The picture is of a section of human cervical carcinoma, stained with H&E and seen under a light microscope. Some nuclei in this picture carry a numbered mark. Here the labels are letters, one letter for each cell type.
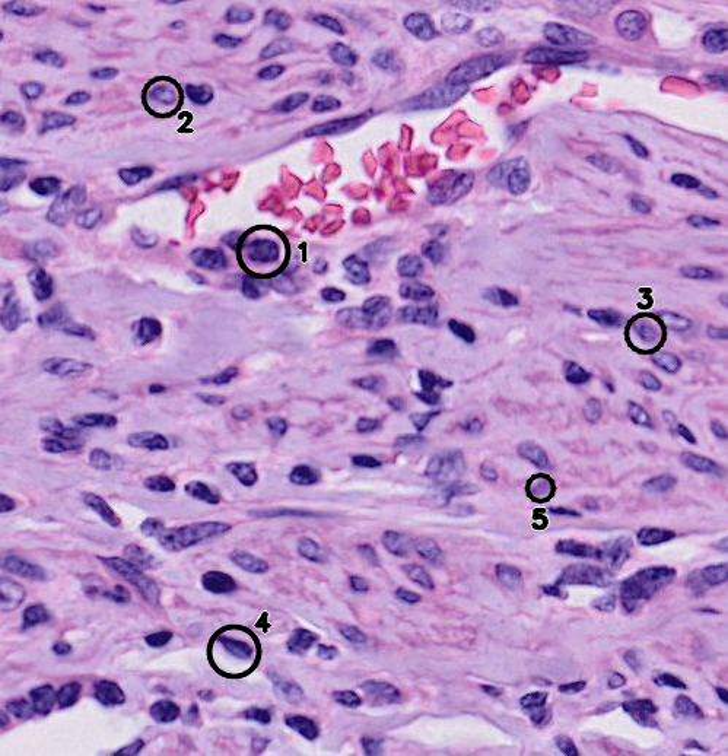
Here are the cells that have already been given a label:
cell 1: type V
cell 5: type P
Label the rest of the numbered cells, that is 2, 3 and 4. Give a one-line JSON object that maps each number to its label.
{"2": "type P", "3": "type P", "4": "type V"}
